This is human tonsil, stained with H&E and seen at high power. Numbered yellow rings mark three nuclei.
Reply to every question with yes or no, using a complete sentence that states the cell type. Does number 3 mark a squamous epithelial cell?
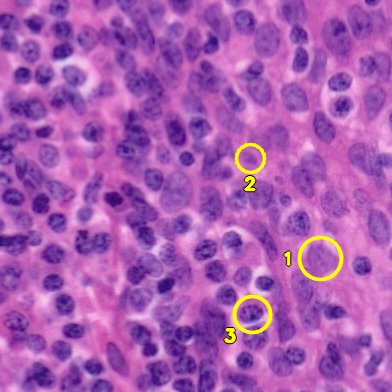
No, cell 3 is not a squamous epithelial cell. It is a plasma cell.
